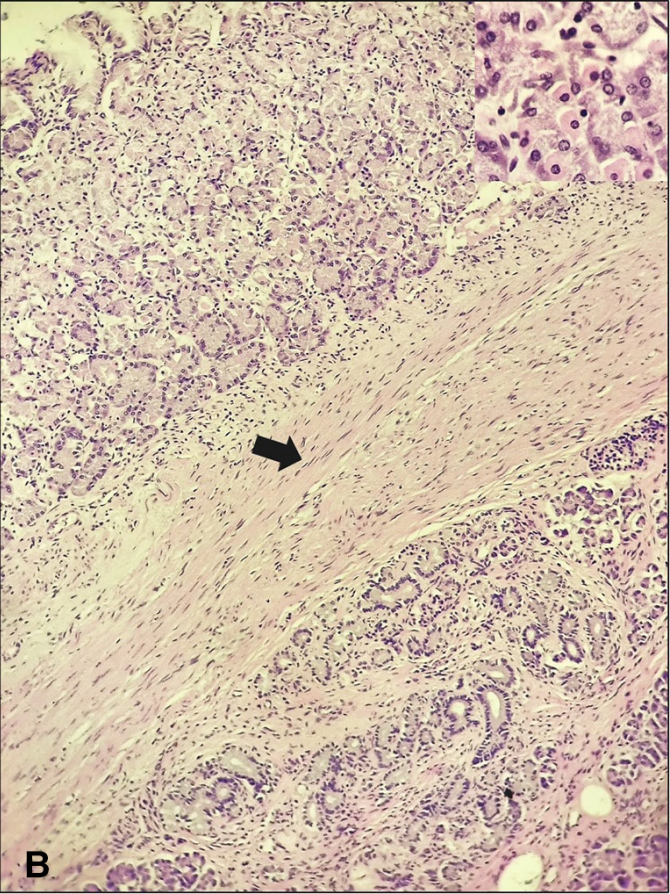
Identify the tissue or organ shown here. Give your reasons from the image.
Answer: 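The glands are lined by cells with pale pink cytoplasm. A surface of columnar epithelium sits at the top left edge. On this evidence: corpus-type gastric mucosa.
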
